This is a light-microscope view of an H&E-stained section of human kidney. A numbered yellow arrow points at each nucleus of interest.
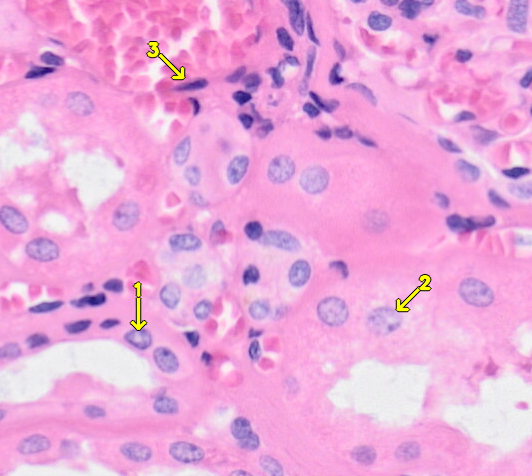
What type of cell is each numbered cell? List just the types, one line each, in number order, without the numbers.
collecting duct cell
proximal tubule cell
endothelial cell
